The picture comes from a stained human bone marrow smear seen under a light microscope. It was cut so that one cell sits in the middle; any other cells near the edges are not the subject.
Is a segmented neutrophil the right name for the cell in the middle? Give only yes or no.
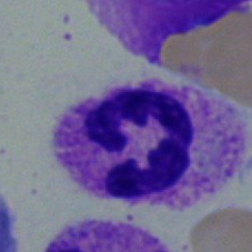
yes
